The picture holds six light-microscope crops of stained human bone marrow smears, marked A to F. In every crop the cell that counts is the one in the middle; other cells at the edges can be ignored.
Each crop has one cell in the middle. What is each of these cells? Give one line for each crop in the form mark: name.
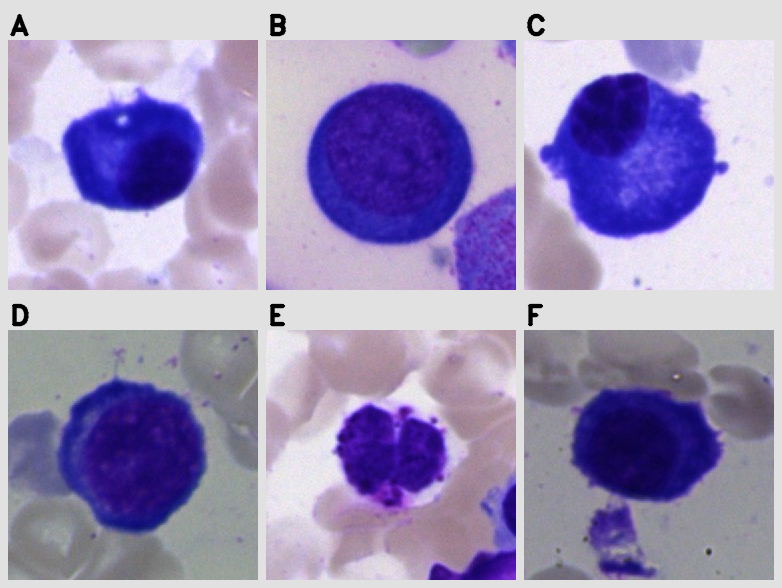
A: plasma cell
B: proerythroblast
C: plasma cell
D: proerythroblast
E: basophil
F: plasma cell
